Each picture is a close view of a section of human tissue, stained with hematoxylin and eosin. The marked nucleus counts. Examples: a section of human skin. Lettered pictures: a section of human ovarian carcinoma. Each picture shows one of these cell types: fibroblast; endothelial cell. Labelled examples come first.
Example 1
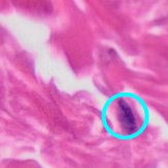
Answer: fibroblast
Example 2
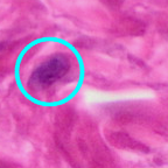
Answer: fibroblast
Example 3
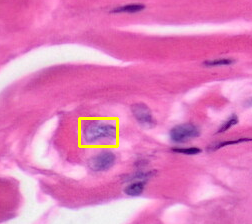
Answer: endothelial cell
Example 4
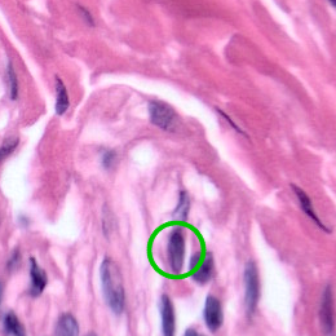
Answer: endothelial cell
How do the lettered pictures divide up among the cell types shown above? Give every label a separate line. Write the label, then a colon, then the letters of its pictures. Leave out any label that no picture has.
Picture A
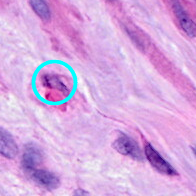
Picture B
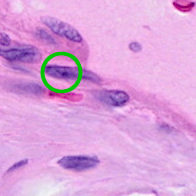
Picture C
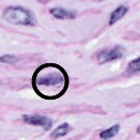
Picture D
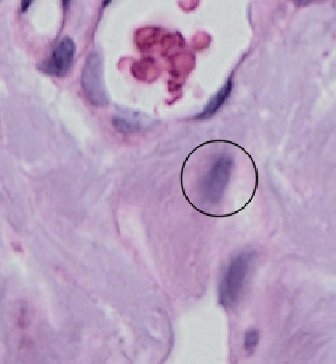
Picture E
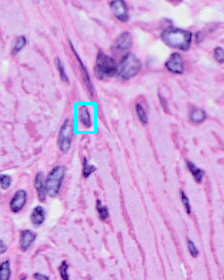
fibroblast: C, E
endothelial cell: A, B, D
